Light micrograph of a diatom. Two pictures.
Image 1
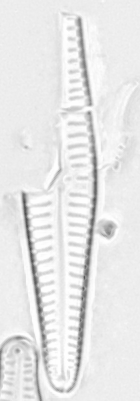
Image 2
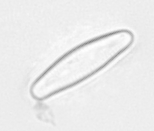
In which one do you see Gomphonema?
In picture 1.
